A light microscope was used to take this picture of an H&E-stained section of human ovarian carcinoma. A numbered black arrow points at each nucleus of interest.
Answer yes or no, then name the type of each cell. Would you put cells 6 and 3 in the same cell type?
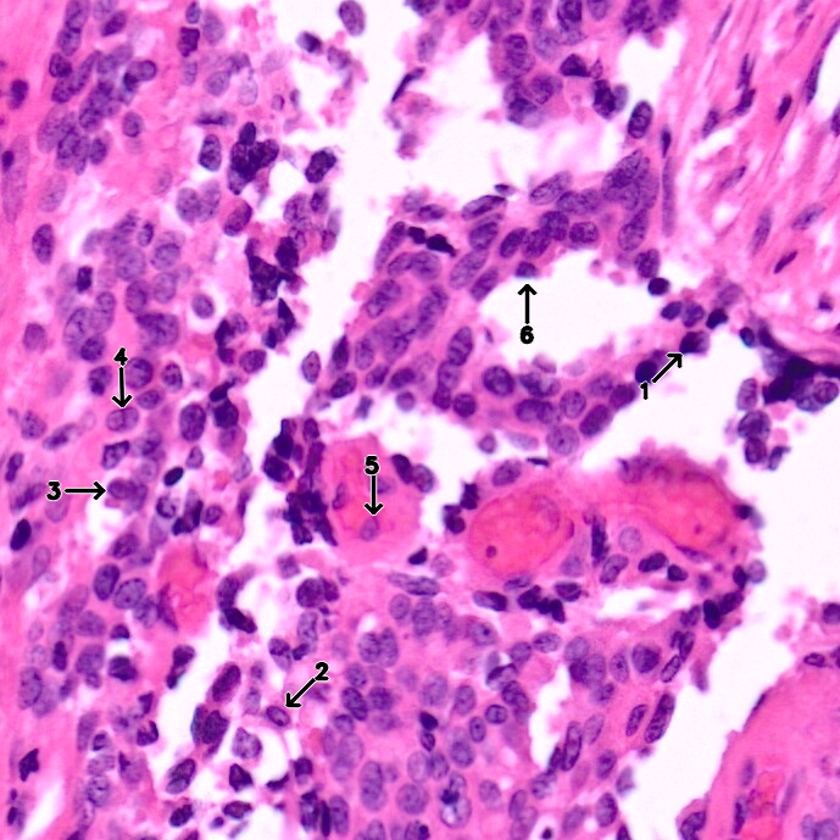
Yes, both are carcinoma cells.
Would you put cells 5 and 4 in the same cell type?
No, cell 5 is an endothelial cell and cell 4 is a macrophage or monocyte.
